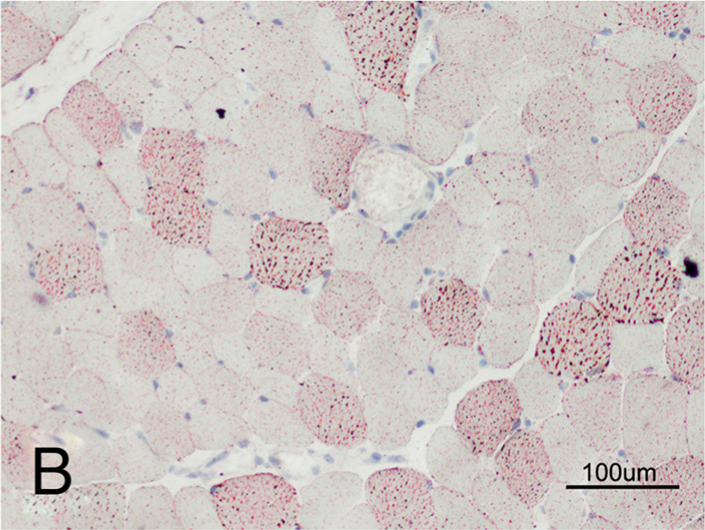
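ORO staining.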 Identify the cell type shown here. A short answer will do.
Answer: Myofibers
